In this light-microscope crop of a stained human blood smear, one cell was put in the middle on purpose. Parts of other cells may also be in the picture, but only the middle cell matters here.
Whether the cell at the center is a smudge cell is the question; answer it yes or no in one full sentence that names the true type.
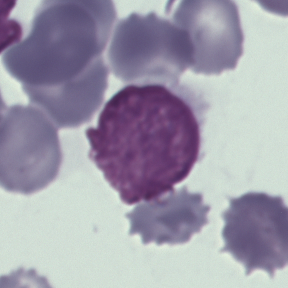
No, that would be a myeloblast, not a smudge cell, for the cell at the centre.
